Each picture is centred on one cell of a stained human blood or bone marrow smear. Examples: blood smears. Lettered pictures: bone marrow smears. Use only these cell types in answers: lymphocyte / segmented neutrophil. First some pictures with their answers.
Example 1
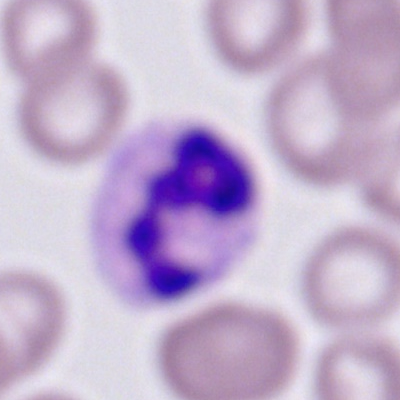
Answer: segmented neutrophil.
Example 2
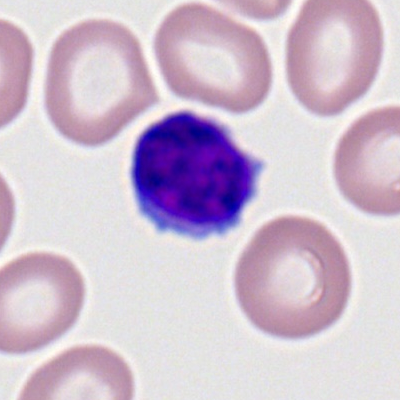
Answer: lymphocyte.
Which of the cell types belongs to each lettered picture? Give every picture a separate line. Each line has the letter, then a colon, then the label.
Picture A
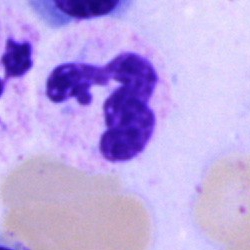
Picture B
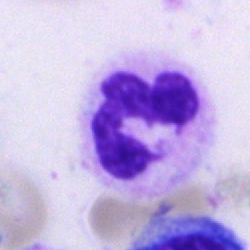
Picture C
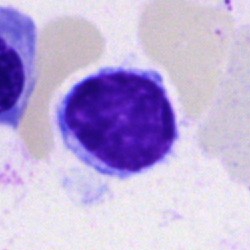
A: segmented neutrophil.
B: segmented neutrophil.
C: lymphocyte.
